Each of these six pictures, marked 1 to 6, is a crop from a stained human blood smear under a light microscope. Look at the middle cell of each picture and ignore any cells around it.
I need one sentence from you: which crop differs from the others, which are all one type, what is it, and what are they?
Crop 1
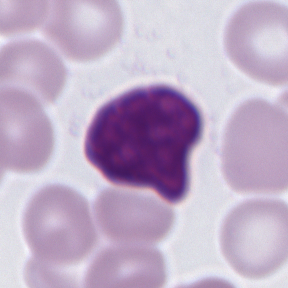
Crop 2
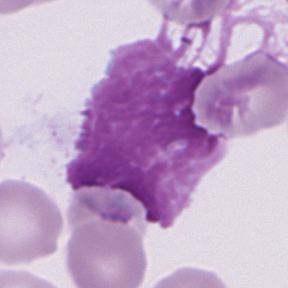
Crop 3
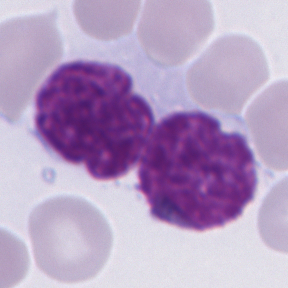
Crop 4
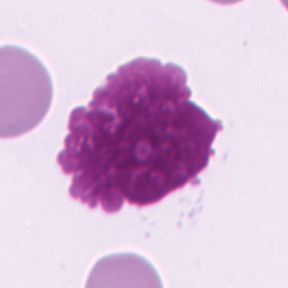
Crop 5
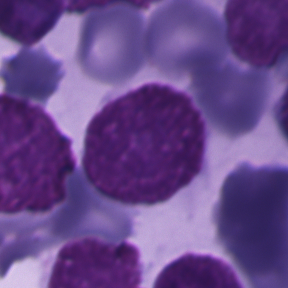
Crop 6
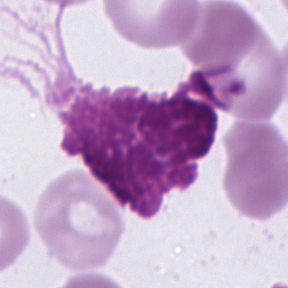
Only crop 3 differs, being a myeloblast, while the others all show smudge cells.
